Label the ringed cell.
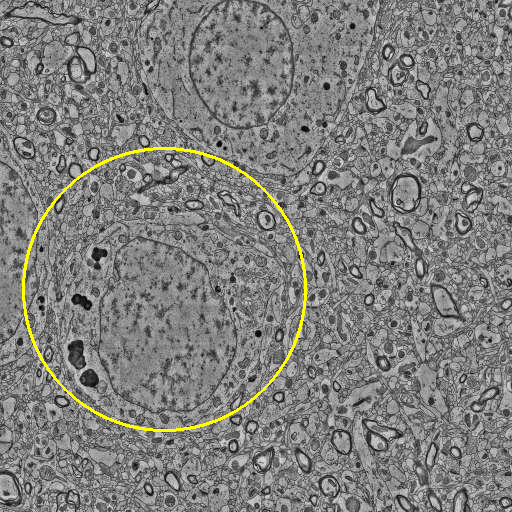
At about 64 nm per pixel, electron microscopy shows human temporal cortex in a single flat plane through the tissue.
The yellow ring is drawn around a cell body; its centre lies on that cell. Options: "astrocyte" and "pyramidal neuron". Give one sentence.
The ringed cell is a pyramidal neuron.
